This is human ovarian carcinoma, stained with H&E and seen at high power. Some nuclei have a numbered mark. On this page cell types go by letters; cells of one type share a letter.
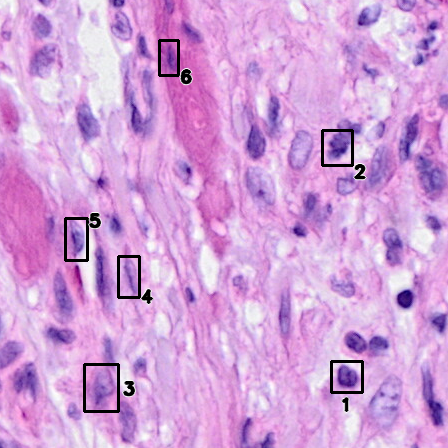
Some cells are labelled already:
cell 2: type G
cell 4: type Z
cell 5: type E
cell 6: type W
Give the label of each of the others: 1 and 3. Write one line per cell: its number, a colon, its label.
1: type G
3: type E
